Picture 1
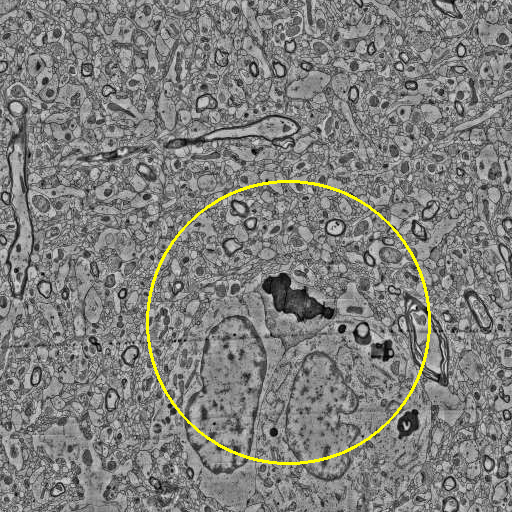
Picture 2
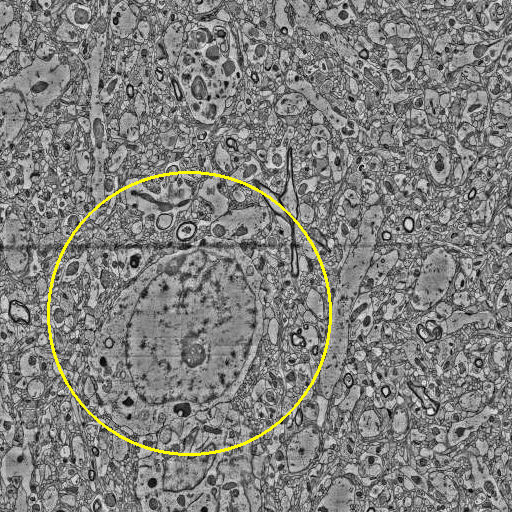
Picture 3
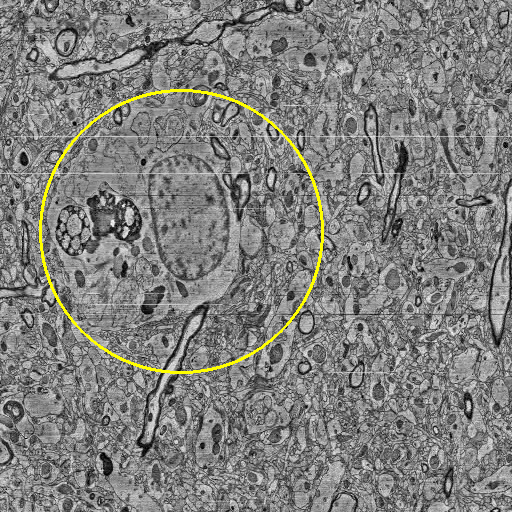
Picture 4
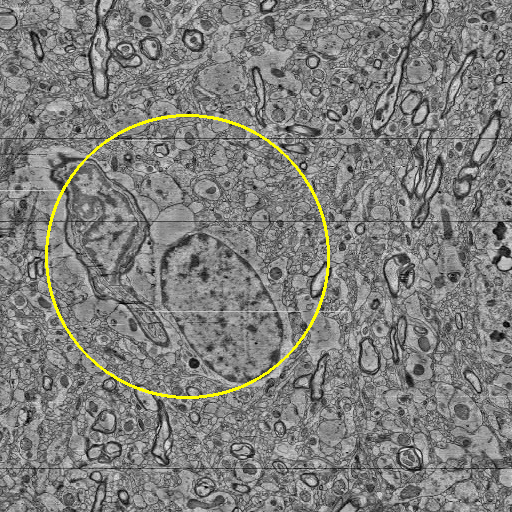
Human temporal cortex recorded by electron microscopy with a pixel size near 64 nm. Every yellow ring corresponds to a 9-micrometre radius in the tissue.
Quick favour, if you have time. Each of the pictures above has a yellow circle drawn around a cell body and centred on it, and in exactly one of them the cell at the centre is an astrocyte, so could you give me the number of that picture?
3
